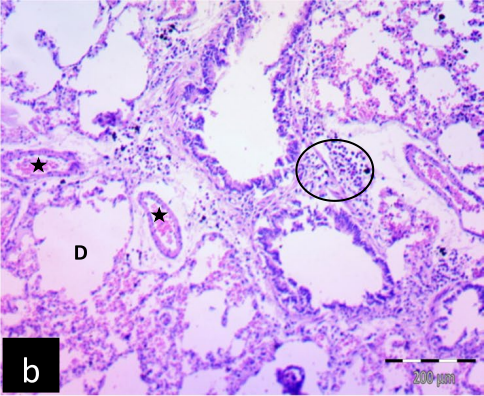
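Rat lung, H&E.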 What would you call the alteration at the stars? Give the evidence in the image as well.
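Congested blood vessels. Each star lies in a vessel with a wall.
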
